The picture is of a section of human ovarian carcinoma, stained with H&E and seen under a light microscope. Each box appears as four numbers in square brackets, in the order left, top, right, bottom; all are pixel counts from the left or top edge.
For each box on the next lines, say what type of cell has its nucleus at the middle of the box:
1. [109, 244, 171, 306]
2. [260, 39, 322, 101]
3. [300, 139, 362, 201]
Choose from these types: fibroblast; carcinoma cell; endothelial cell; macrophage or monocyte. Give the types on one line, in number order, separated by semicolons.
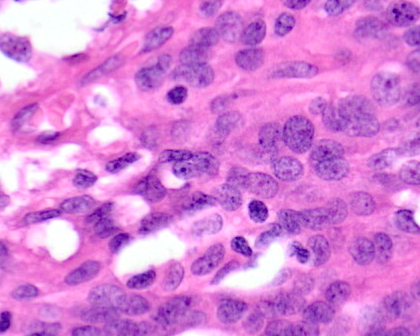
macrophage or monocyte; endothelial cell; carcinoma cell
